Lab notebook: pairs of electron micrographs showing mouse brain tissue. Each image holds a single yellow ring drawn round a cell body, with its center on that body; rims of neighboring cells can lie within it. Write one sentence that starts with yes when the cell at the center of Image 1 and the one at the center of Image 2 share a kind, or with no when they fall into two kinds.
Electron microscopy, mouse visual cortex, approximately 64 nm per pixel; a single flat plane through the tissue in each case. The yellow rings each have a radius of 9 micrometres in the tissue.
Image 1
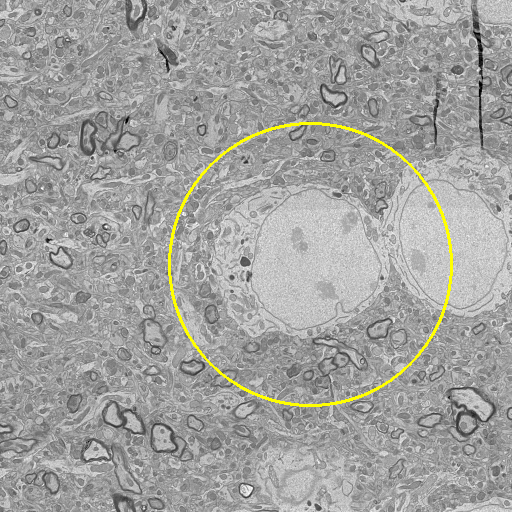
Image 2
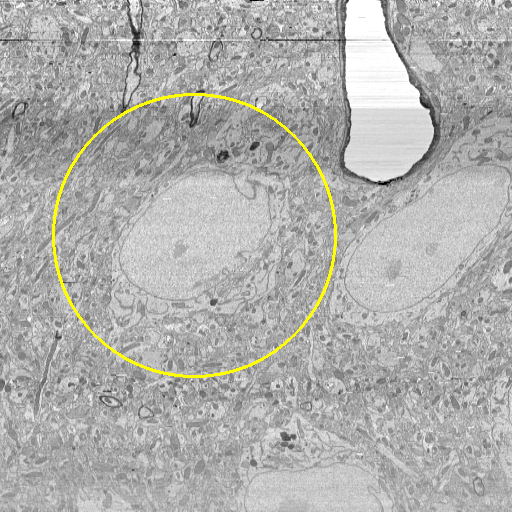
No, the centered cell in Image 1 and the centered cell in Image 2 are of two kinds.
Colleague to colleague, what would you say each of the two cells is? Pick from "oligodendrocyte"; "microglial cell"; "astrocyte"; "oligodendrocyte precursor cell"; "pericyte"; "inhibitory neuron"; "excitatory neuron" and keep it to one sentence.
The cell in the first picture is an excitatory neuron; the second picture's cell is an inhibitory neuron.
